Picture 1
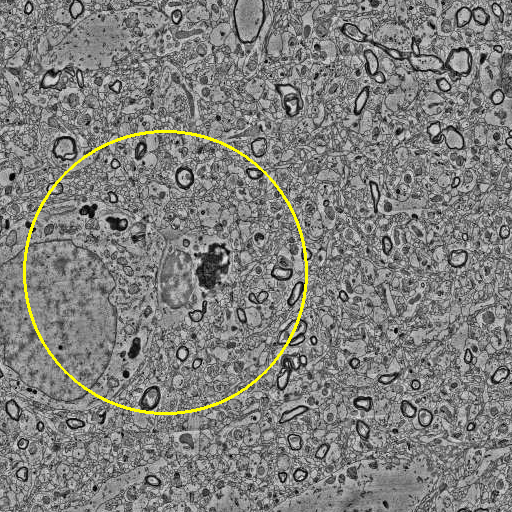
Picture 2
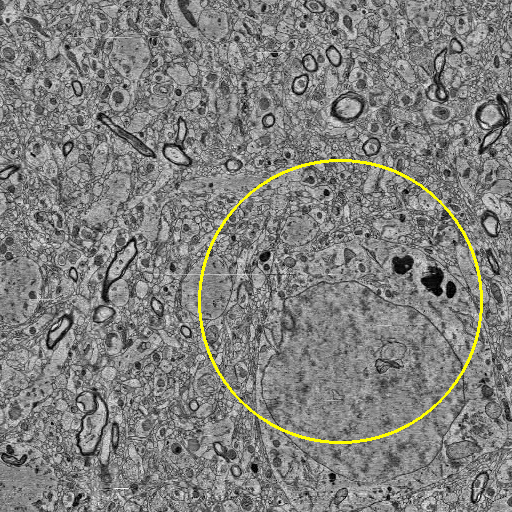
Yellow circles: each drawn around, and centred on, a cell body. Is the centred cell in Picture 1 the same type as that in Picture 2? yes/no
no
